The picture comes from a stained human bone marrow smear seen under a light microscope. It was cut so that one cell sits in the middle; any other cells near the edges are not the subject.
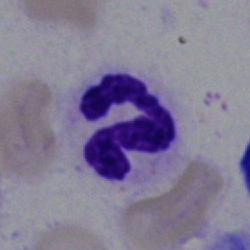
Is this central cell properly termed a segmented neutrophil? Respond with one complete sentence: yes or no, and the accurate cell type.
Yes, the cell occupying the center is a segmented neutrophil.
